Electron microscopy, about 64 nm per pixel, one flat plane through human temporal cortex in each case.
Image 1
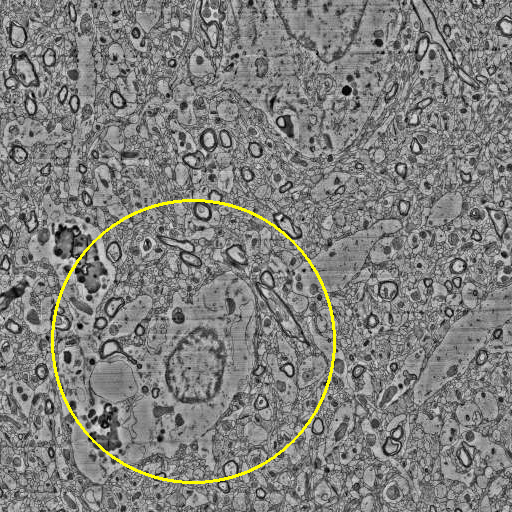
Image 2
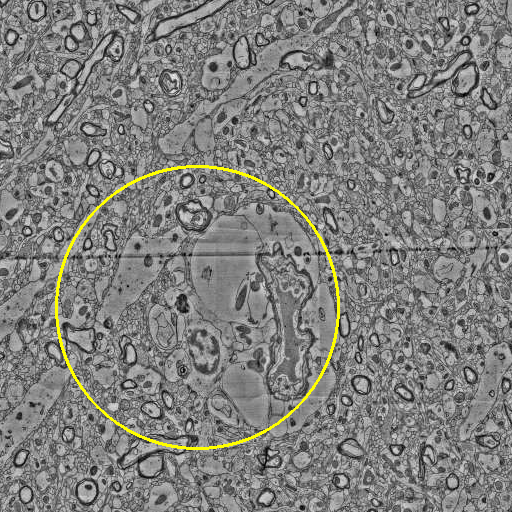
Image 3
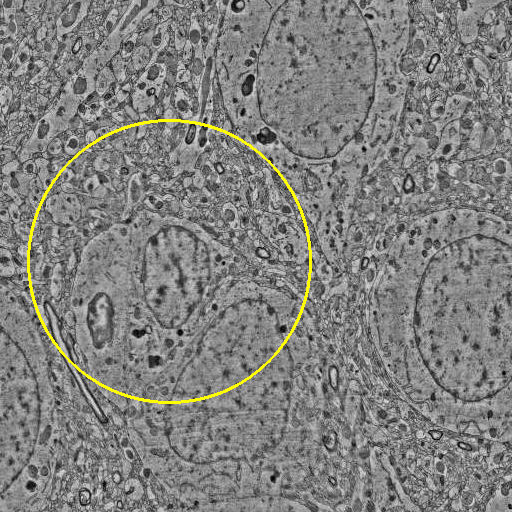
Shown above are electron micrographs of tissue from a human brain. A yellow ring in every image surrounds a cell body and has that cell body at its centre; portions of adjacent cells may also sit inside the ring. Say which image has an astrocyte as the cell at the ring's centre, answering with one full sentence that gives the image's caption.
The image whose ring is centred on the requested cell is Image 1.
